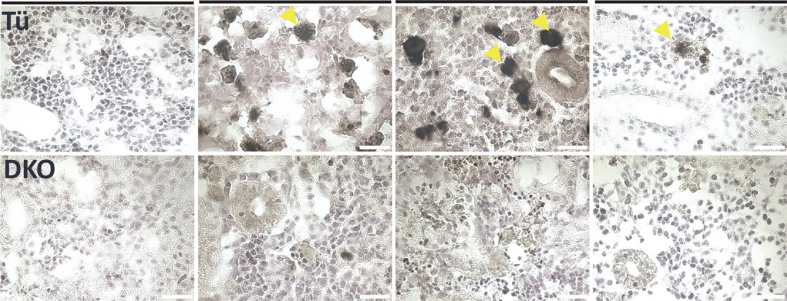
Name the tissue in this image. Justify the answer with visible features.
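Kidney. Round tubule cross-sections with epithelial walls lie among sheets of small round cells. Densely packed small cells with dark nuclei fill the space between tubules.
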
